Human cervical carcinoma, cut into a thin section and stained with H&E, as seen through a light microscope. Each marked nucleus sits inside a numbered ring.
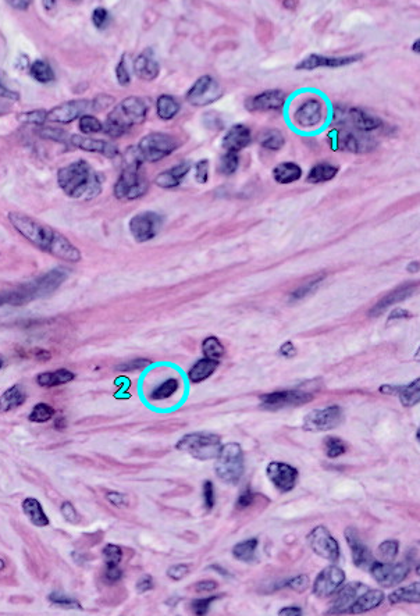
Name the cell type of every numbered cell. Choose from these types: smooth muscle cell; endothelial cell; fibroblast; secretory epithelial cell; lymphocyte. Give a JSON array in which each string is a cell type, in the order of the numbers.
["endothelial cell", "lymphocyte"]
